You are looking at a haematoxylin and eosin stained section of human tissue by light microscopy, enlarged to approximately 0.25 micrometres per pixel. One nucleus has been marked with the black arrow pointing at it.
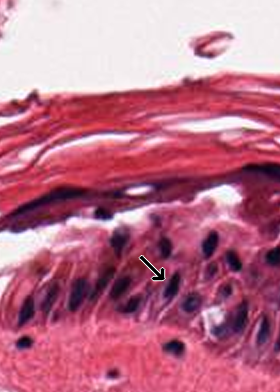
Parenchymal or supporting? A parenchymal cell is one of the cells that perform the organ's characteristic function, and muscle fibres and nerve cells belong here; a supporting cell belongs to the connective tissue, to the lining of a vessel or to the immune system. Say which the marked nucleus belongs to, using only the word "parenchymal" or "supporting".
parenchymal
